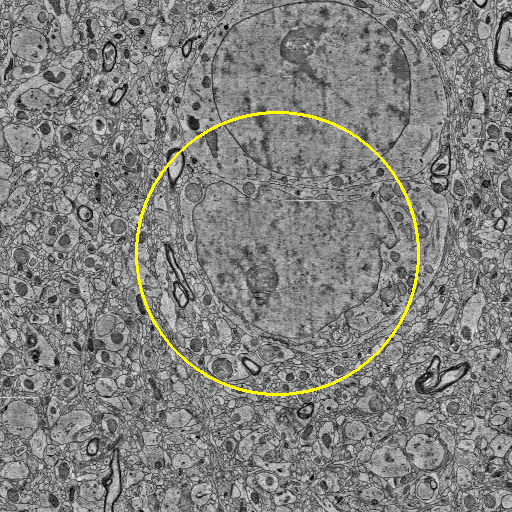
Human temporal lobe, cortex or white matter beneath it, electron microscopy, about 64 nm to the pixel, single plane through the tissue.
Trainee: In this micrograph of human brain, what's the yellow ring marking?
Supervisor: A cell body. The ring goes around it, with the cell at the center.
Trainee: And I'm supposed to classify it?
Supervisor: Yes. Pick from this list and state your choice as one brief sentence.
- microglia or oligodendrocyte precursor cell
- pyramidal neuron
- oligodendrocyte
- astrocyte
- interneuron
The cell at the ring's center is an interneuron.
